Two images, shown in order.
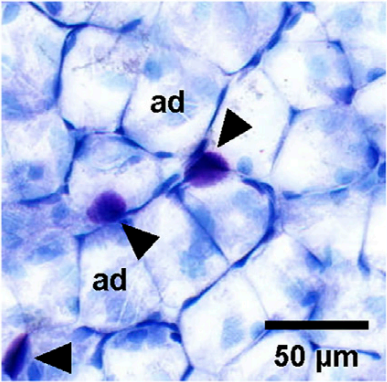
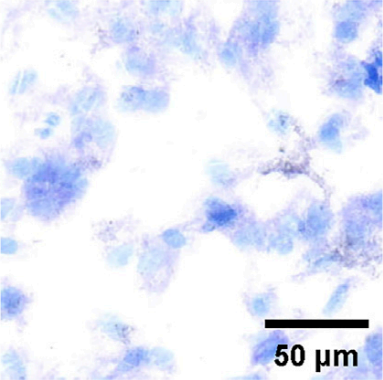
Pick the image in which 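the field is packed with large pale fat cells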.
The first image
